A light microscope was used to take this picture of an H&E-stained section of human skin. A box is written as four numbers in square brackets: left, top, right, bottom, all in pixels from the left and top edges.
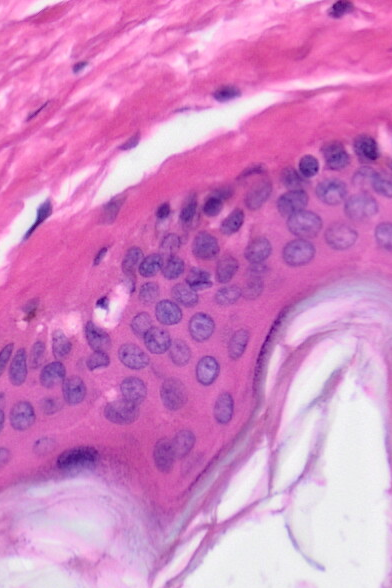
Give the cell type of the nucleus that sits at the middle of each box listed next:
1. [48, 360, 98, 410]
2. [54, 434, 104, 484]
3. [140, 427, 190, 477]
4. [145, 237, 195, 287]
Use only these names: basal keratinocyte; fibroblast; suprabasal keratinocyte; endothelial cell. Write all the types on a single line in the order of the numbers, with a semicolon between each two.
suprabasal keratinocyte; suprabasal keratinocyte; suprabasal keratinocyte; basal keratinocyte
